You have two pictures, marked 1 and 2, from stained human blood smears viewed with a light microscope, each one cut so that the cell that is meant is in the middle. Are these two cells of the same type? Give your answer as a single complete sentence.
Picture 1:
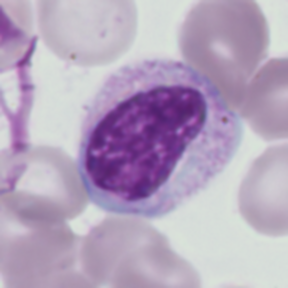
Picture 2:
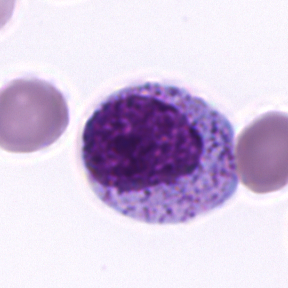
No, the types are not the same, since picture 1 shows a metamyelocyte and picture 2 a myelocyte.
